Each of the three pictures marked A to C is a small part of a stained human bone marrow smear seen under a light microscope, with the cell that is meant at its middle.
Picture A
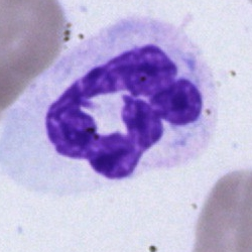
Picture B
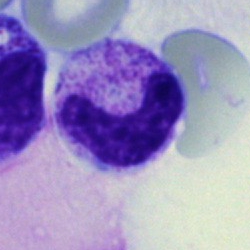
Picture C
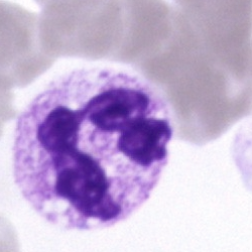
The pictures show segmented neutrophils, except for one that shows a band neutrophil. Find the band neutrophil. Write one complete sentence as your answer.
The picture with the band neutrophil is B.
